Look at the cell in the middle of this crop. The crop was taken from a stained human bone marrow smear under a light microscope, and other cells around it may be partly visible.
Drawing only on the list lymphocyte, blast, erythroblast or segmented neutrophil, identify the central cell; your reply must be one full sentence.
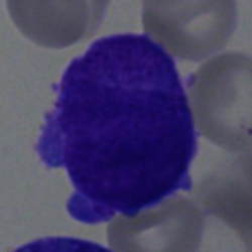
The centrally located cell in the crop is a blast.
